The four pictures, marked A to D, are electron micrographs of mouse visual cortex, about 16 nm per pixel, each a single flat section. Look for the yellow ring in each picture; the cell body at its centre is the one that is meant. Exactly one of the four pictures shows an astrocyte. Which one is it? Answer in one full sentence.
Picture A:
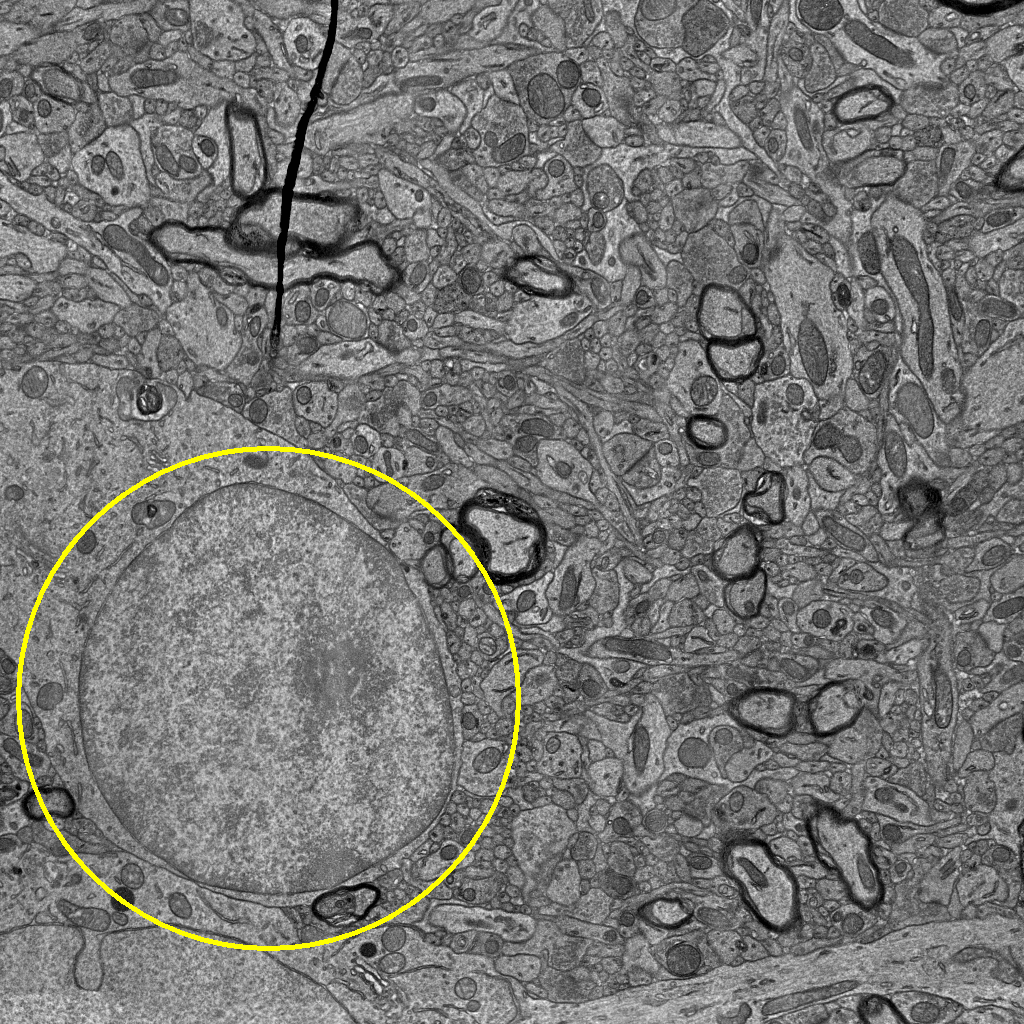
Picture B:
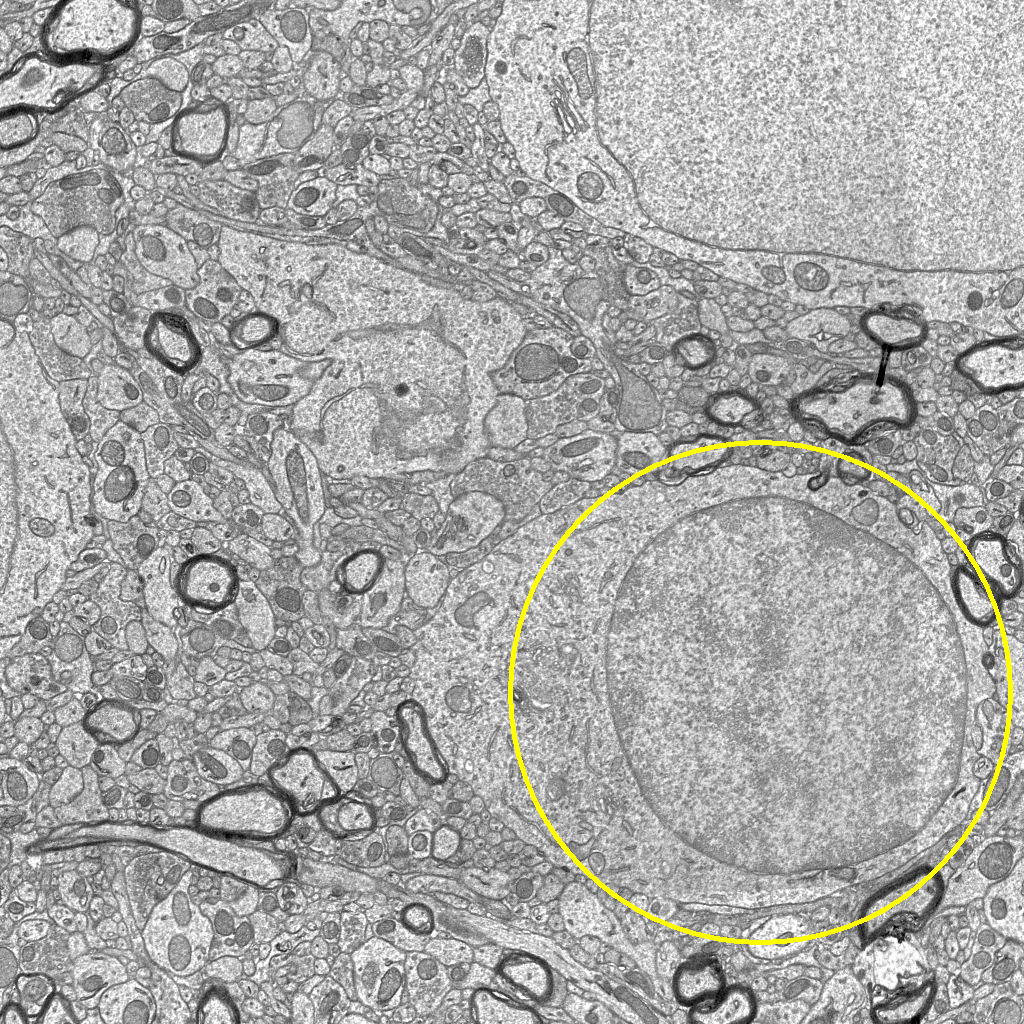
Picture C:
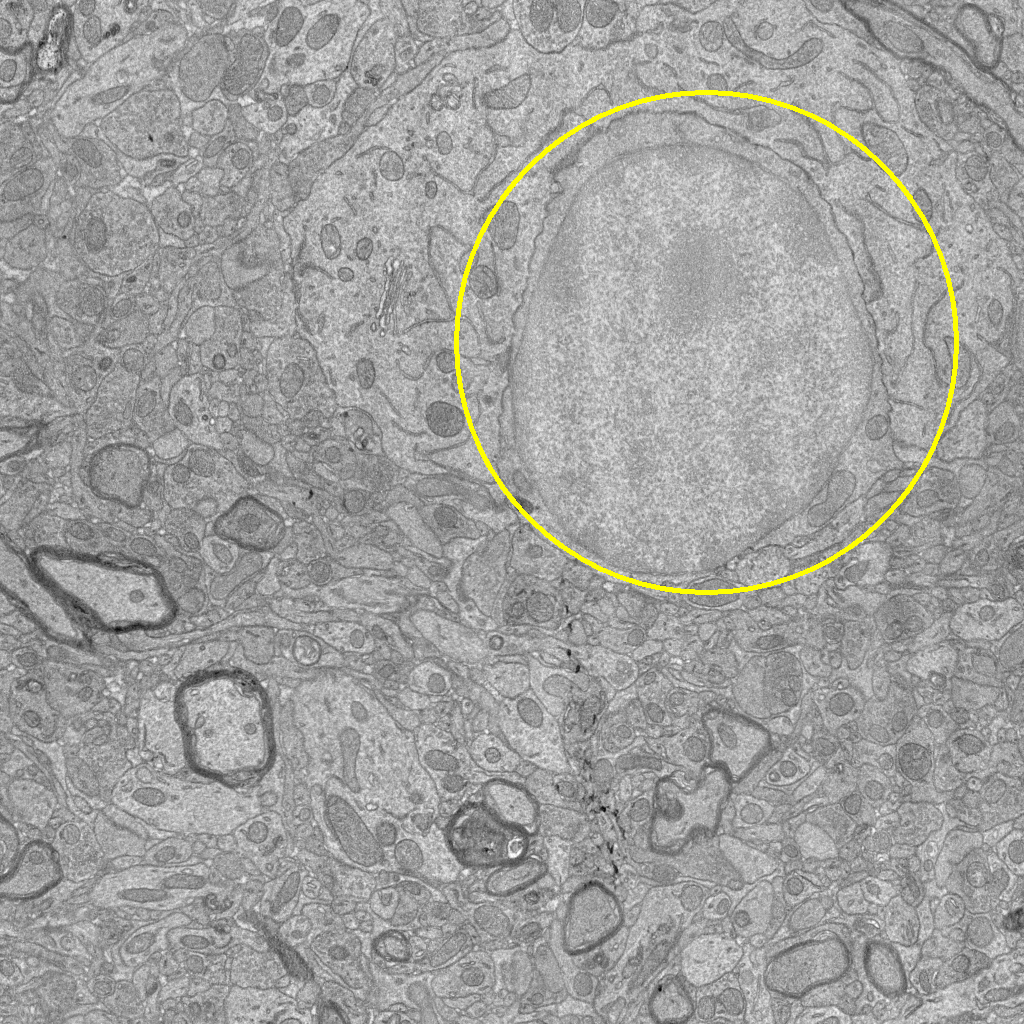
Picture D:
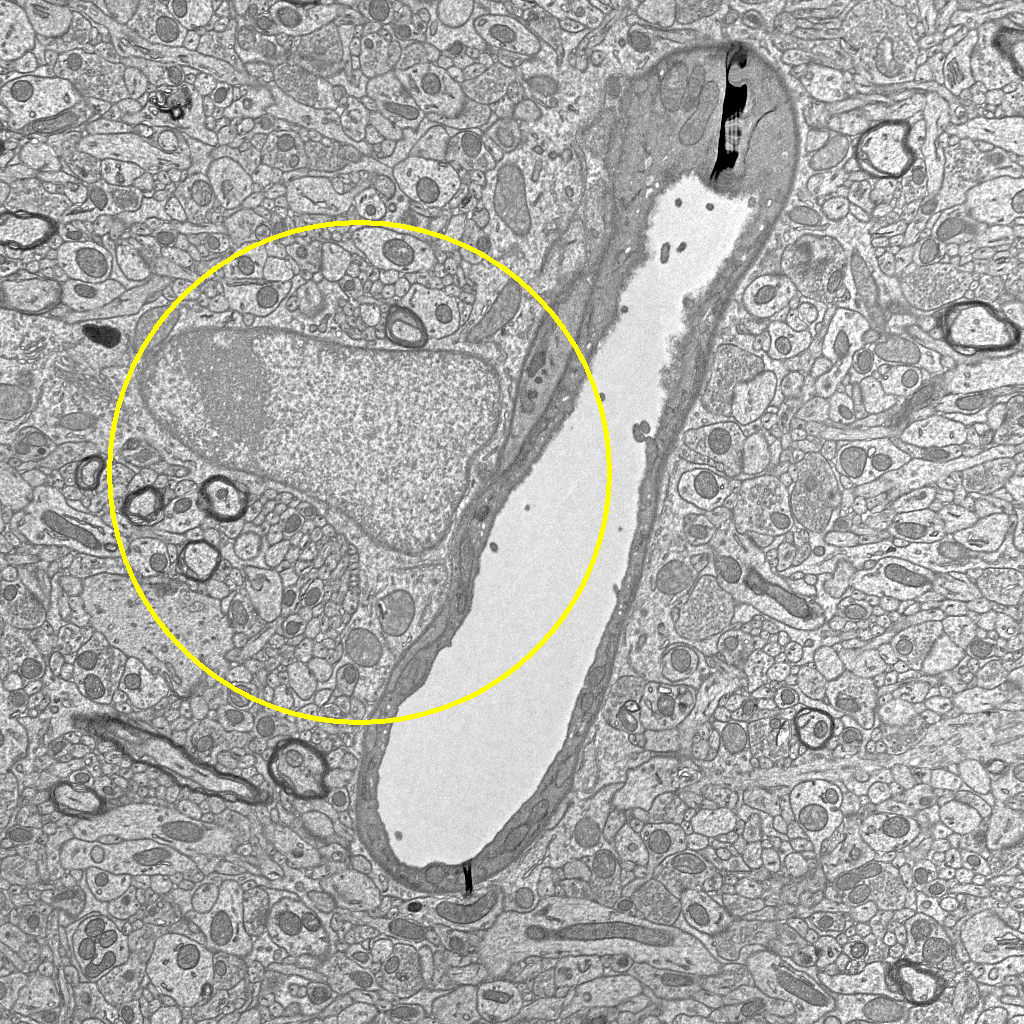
Picture D is the one that shows the astrocyte.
